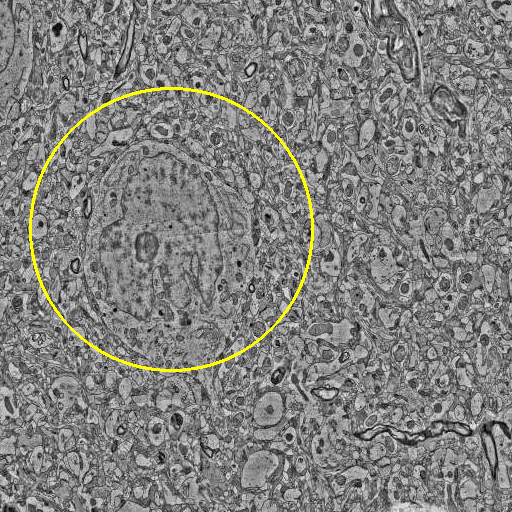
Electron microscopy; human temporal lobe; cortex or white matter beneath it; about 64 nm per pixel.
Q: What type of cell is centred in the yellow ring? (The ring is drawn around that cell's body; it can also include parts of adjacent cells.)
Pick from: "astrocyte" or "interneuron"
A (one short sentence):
The yellow ring is centred on an interneuron.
